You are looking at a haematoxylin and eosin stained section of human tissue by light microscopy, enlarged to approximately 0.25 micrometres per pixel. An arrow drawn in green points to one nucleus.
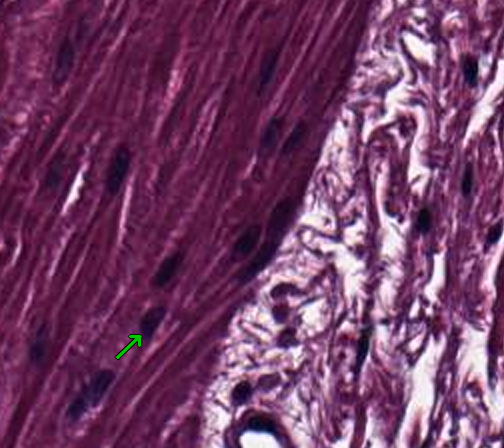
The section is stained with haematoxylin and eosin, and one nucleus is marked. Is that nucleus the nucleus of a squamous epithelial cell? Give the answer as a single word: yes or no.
no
